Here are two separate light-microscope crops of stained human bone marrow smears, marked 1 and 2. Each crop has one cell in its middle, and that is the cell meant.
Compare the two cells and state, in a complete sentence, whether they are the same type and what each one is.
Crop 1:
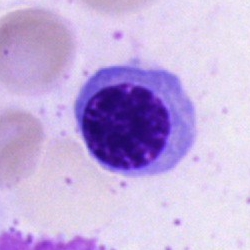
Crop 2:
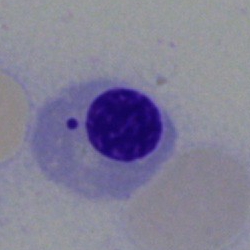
Yes, shown in both crops are erythroblasts.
